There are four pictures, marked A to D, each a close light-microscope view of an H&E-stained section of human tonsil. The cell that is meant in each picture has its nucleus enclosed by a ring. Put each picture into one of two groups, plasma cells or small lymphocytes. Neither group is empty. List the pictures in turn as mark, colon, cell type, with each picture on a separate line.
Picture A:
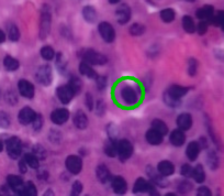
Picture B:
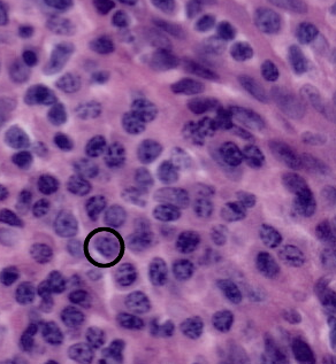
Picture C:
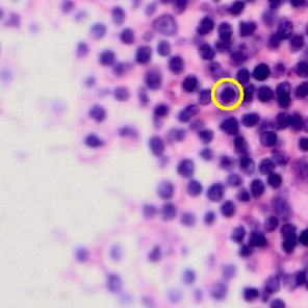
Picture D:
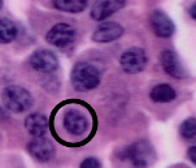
A: plasma cell
B: plasma cell
C: small lymphocyte
D: plasma cell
